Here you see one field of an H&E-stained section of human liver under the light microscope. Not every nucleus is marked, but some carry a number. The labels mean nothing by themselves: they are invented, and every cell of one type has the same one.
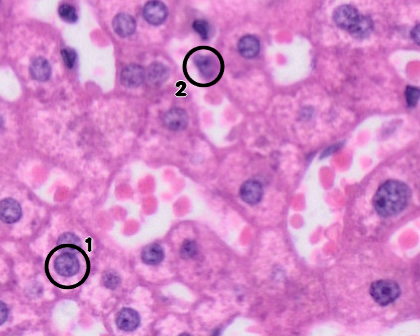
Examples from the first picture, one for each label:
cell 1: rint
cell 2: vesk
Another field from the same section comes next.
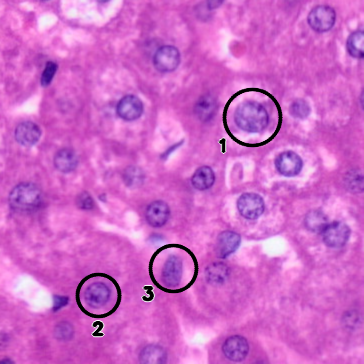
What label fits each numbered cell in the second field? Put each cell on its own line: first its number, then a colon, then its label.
1: rint
2: rint
3: vesk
